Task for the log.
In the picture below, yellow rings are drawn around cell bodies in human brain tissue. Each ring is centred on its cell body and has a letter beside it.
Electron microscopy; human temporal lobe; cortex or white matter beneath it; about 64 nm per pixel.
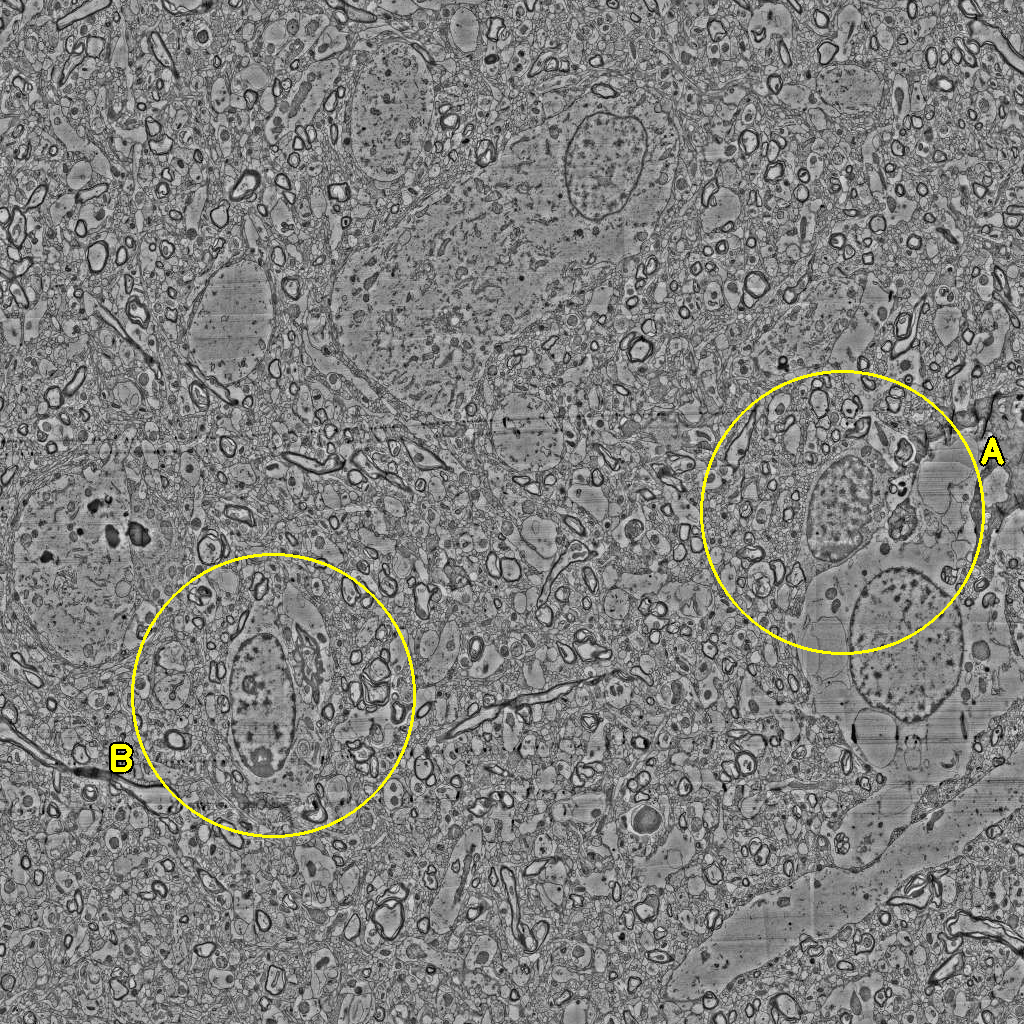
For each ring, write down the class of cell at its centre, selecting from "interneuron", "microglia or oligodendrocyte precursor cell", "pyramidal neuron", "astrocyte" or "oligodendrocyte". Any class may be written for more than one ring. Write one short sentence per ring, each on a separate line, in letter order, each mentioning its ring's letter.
The cell inside ring A, at its centre, is an oligodendrocyte.
The cell inside ring B, at its centre, is a microglial cell or oligodendrocyte precursor cell.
